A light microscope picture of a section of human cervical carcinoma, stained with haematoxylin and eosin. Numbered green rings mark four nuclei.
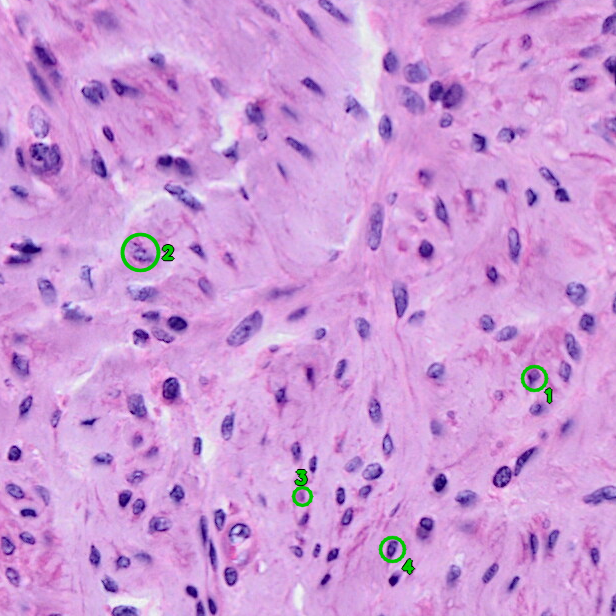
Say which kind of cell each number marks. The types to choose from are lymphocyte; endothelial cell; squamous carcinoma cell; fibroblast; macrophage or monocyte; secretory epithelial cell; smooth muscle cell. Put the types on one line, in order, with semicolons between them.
smooth muscle cell; smooth muscle cell; smooth muscle cell; fibroblast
